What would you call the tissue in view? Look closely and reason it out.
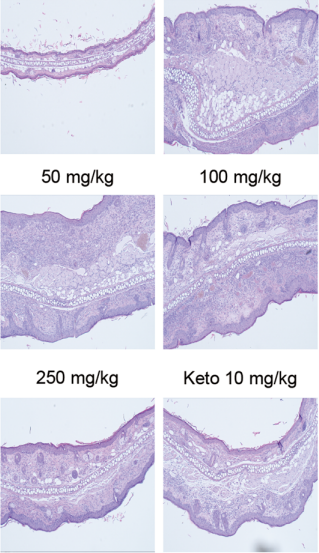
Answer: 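Each section is a thin sheet with a central plate of cartilage. Skin with a surface epithelium covers both faces of the cartilage plate. The answer: ear.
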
